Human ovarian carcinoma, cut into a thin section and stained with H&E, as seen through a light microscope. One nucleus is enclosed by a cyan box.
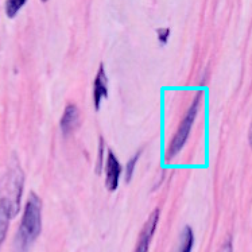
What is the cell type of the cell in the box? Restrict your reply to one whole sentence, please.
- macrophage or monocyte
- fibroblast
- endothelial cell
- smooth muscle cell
As far as its identity is concerned, the cell in the box is a smooth muscle cell.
